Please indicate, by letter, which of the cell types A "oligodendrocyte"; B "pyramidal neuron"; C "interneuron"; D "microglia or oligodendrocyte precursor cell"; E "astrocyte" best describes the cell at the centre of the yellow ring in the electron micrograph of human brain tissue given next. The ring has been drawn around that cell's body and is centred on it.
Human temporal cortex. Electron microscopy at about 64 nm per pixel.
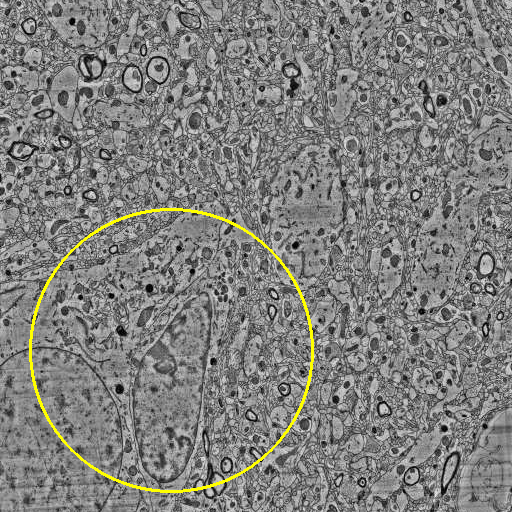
D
